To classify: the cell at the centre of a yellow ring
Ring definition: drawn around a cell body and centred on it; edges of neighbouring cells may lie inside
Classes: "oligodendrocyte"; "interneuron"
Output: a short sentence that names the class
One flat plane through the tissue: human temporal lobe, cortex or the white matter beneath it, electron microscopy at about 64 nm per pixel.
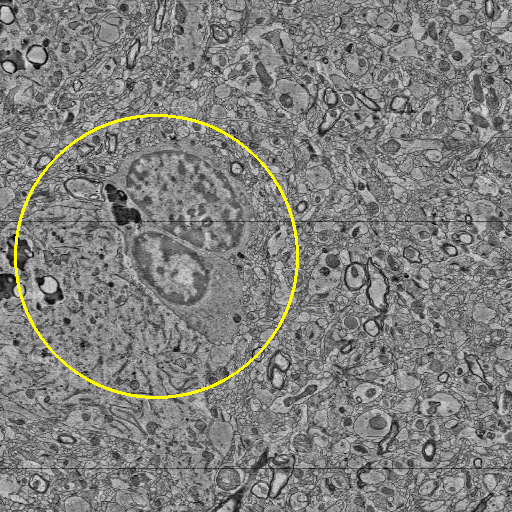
The ringed cell is an oligodendrocyte.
